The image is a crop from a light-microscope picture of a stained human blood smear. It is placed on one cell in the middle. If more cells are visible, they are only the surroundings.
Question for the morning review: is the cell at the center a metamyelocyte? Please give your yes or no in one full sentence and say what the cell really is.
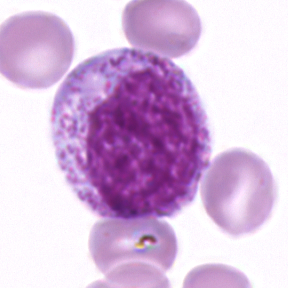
No, the cell in the middle is a myelocyte, not a metamyelocyte.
